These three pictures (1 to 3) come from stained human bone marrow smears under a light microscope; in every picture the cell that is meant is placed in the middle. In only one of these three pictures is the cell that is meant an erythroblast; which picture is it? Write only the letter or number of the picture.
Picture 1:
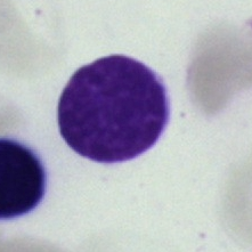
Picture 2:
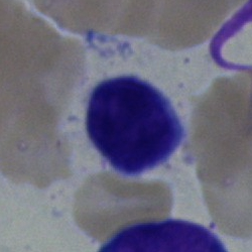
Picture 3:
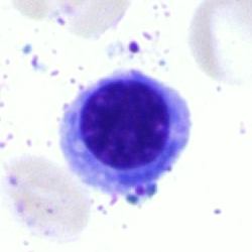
3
